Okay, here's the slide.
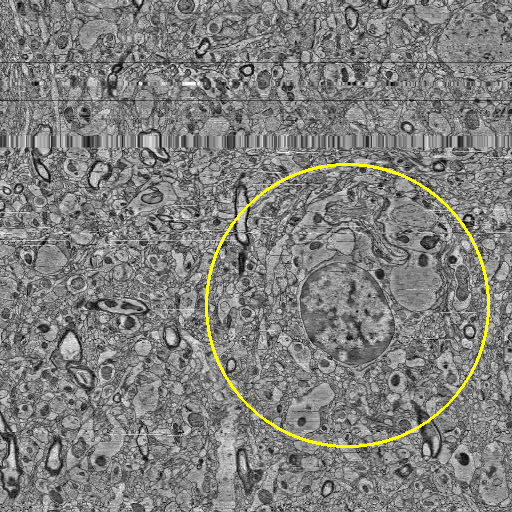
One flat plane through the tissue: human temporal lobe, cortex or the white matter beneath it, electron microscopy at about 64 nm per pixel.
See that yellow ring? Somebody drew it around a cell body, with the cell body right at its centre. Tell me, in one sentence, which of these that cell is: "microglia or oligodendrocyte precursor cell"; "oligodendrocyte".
The cell in the middle of the ring is a microglial cell or oligodendrocyte precursor cell.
